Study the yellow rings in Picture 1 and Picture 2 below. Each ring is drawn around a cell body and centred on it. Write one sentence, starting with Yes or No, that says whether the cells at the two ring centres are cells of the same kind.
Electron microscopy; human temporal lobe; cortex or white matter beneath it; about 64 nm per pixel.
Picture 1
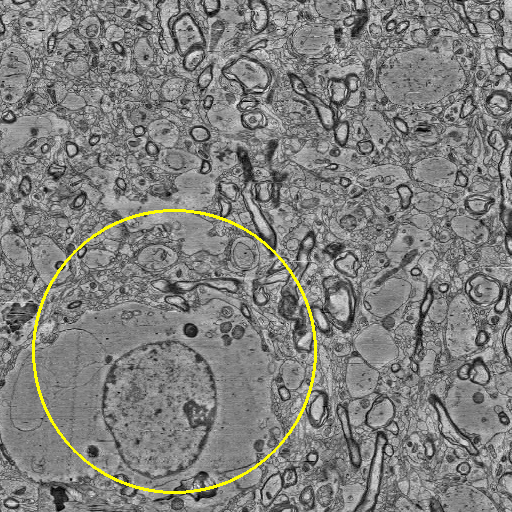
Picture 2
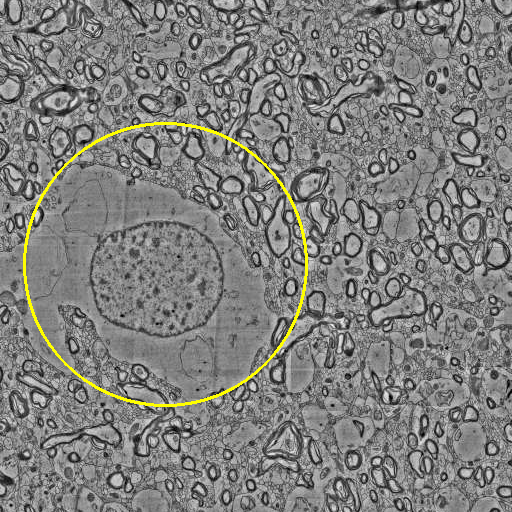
Yes, the cells at both ring centres are of the same kind.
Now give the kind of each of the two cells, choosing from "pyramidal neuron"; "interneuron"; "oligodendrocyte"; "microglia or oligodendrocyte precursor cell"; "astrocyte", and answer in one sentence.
The second cell is an astrocyte, just as the first is.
